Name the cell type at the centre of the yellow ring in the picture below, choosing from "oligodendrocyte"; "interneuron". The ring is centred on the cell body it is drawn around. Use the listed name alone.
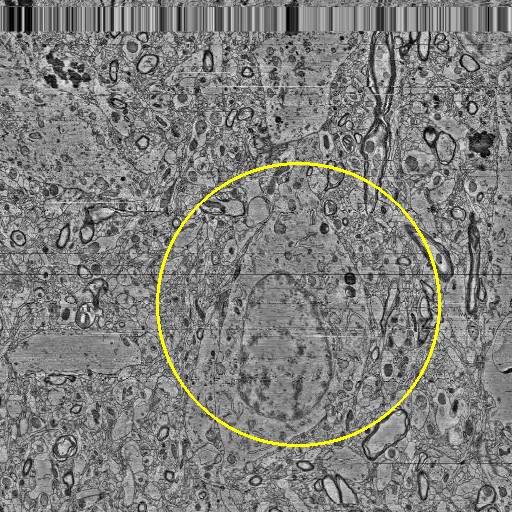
interneuron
